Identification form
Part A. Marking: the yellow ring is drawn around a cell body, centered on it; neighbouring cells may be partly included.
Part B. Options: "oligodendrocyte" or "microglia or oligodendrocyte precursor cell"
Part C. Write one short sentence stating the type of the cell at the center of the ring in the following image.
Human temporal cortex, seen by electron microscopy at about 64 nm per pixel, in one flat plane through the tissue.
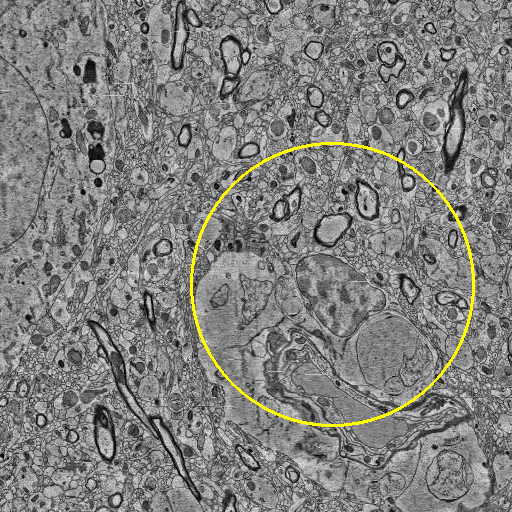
The center of the ring holds a microglial cell or oligodendrocyte precursor cell.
